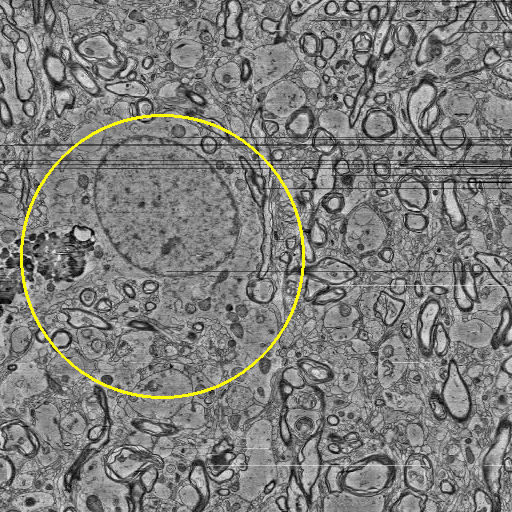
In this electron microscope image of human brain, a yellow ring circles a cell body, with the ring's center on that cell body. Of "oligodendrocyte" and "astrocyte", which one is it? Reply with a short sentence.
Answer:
It is an astrocyte at the center of the ring.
